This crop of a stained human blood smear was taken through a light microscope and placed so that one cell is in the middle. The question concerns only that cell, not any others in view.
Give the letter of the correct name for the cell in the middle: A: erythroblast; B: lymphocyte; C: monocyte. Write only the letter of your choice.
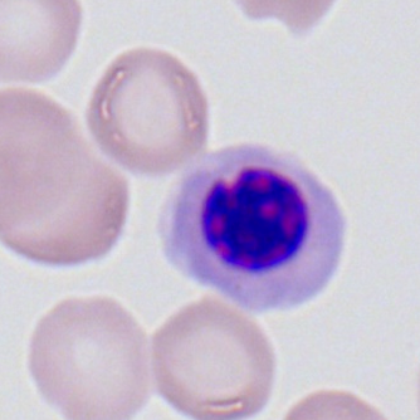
A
